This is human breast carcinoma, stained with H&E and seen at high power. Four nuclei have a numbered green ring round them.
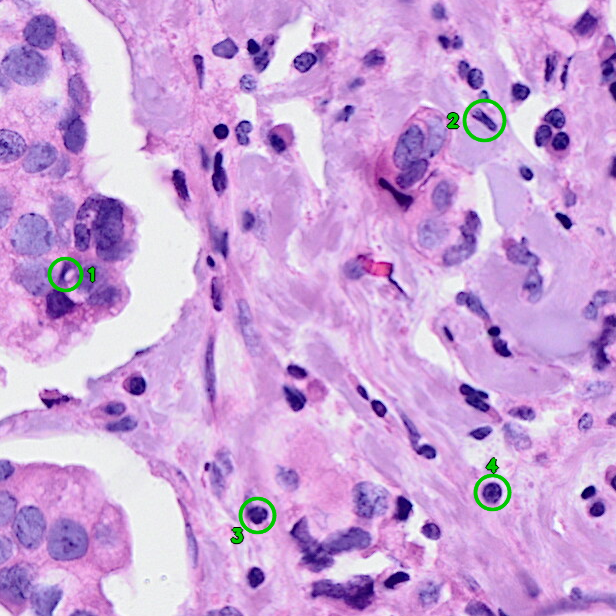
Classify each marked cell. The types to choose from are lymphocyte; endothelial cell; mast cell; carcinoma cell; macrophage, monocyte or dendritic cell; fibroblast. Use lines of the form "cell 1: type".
cell 1: carcinoma cell
cell 2: lymphocyte
cell 3: lymphocyte
cell 4: lymphocyte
